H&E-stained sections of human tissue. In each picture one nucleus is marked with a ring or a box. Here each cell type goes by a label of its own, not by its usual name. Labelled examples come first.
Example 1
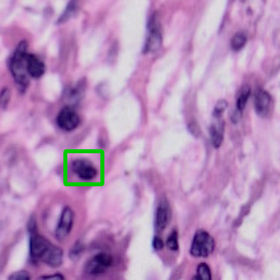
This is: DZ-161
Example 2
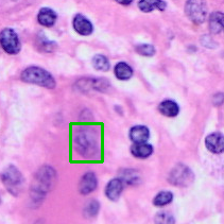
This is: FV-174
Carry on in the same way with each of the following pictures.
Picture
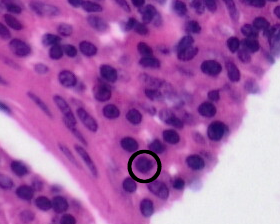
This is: DZ-161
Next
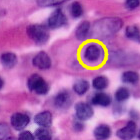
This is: FV-174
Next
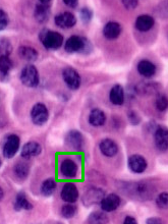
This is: DZ-161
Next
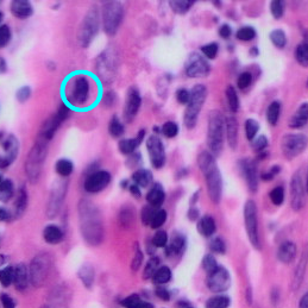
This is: FV-174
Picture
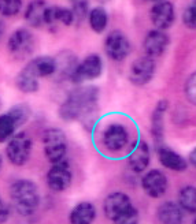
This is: DZ-161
